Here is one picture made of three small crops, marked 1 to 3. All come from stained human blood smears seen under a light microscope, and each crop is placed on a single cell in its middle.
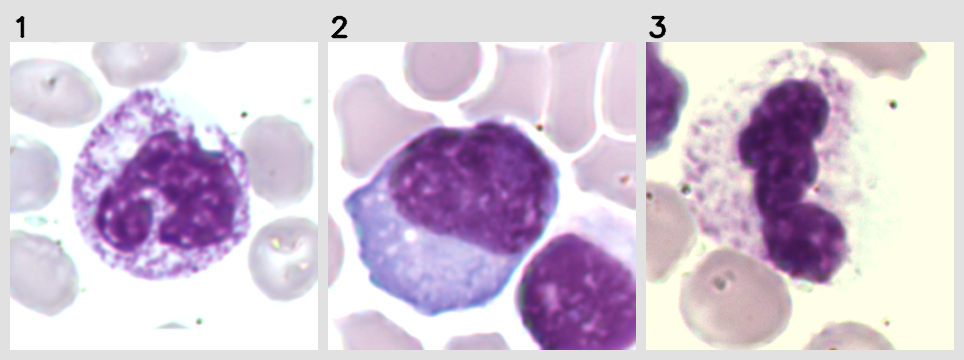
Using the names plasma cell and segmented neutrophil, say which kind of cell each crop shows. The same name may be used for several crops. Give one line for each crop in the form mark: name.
1: segmented neutrophil
2: plasma cell
3: segmented neutrophil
